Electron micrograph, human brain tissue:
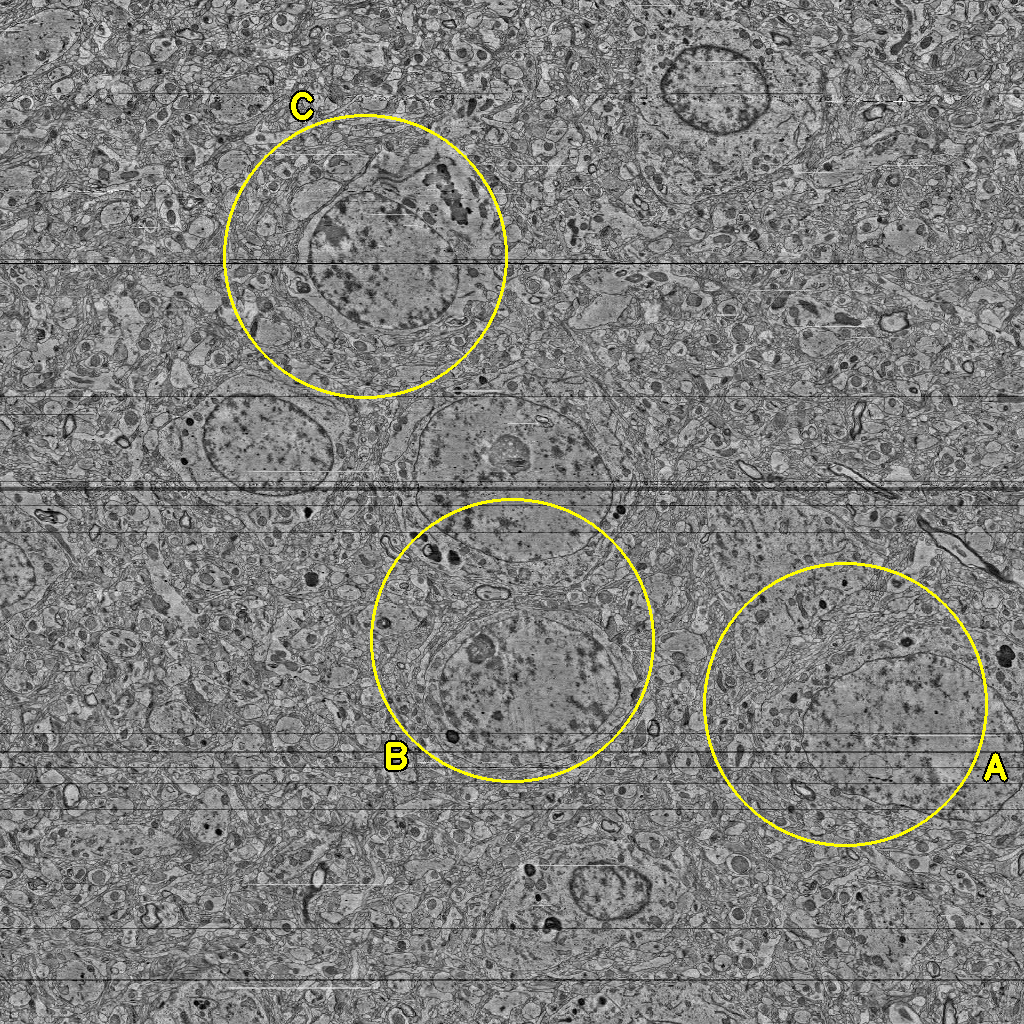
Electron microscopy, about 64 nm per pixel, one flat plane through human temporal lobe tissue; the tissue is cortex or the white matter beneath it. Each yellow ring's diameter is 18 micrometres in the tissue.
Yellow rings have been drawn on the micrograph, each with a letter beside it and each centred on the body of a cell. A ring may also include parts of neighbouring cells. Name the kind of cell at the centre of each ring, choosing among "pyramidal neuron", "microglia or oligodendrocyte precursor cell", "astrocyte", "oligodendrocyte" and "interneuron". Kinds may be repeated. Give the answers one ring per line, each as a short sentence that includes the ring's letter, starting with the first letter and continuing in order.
Ring A is placed on a pyramidal neuron.
Ring B is placed on a pyramidal neuron.
Ring C is placed on an astrocyte.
